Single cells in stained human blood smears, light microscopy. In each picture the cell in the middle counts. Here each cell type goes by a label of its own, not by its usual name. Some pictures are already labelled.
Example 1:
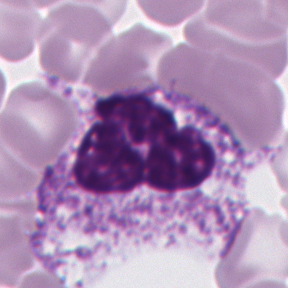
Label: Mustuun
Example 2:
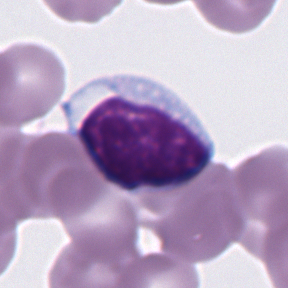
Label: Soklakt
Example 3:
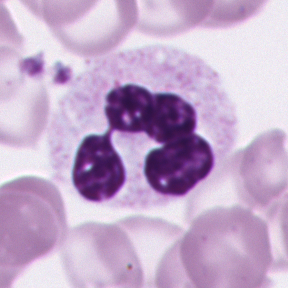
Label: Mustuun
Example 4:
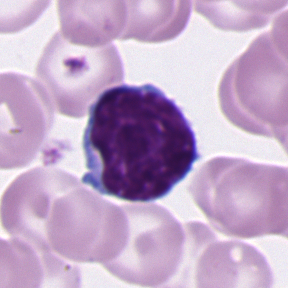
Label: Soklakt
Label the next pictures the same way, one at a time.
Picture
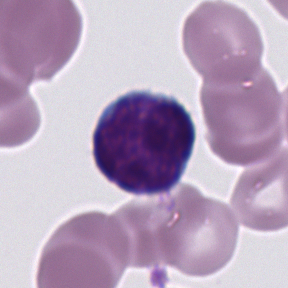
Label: Soklakt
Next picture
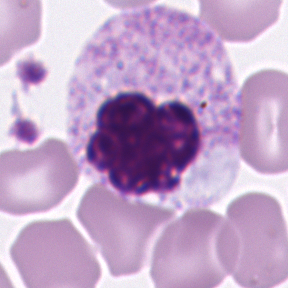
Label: Mustuun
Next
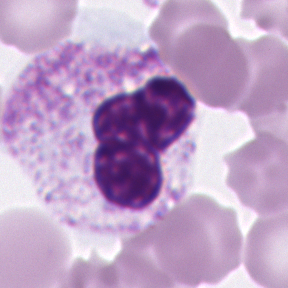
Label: Mustuun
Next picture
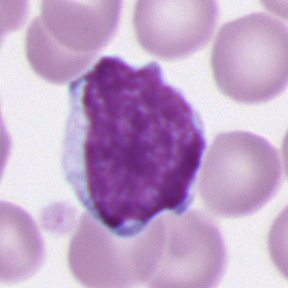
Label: Soklakt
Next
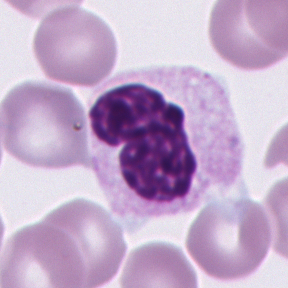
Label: Mustuun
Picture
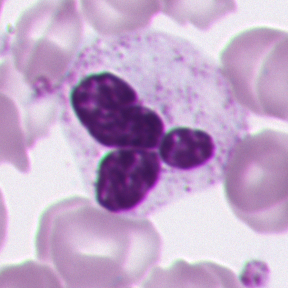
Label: Mustuun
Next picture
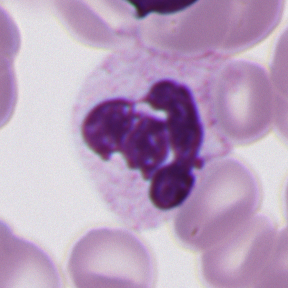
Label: Mustuun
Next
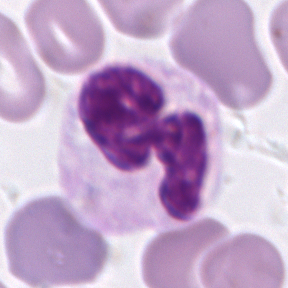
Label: Mustuun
